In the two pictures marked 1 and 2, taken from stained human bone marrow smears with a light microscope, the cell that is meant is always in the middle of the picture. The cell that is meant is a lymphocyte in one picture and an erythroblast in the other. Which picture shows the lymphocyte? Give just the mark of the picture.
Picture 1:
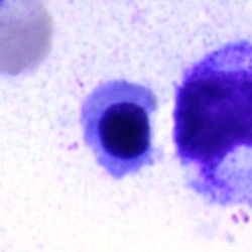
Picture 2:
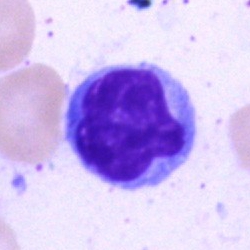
2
